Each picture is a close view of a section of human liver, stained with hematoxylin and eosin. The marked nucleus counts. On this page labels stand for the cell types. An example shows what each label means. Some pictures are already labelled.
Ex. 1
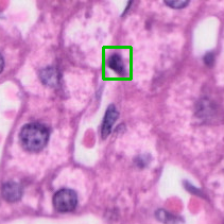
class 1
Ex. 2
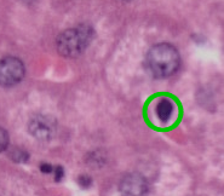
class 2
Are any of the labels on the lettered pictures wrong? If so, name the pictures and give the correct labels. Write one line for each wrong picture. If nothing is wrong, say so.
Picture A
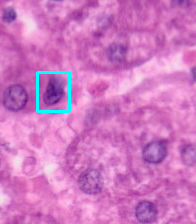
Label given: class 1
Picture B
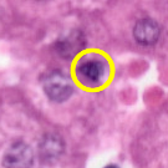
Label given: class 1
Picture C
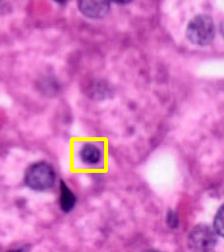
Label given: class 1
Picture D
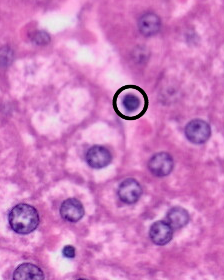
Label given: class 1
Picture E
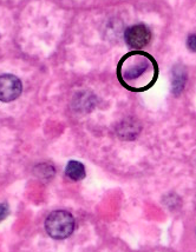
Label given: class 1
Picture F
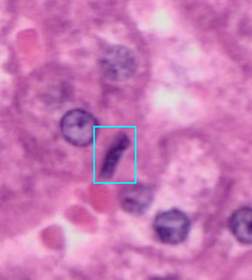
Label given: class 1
C: change class 1 to class 2
D: change class 1 to class 2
